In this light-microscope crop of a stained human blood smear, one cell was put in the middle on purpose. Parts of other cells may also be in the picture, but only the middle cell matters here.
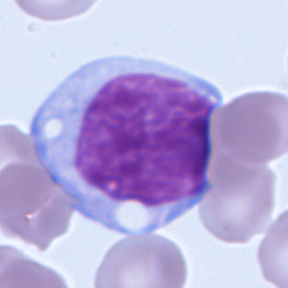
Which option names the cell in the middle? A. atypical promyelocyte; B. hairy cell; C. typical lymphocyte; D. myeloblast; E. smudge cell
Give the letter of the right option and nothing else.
D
